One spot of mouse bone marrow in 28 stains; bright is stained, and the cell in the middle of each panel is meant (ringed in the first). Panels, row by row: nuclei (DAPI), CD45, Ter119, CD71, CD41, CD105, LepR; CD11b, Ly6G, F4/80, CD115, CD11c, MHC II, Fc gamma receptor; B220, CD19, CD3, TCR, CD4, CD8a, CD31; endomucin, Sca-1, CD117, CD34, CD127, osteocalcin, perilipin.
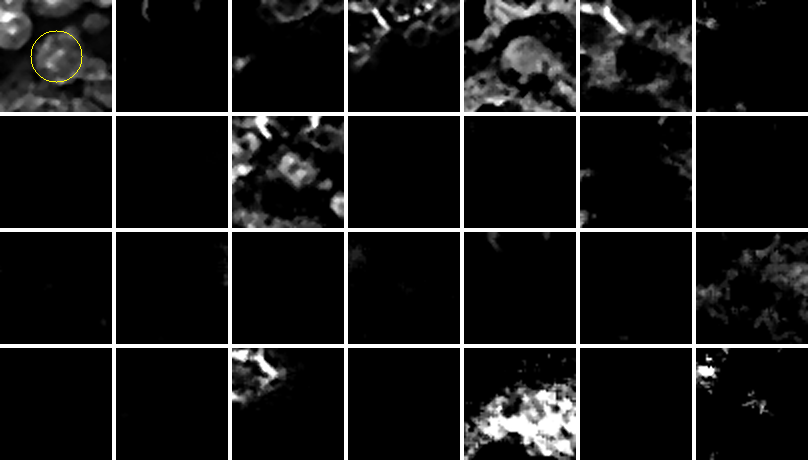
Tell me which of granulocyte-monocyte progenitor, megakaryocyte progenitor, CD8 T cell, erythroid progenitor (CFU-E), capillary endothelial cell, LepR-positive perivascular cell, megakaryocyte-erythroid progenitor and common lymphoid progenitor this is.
The picture shows a common lymphoid progenitor.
